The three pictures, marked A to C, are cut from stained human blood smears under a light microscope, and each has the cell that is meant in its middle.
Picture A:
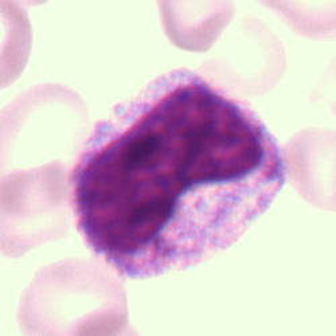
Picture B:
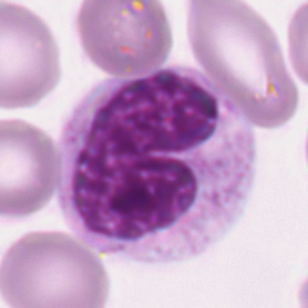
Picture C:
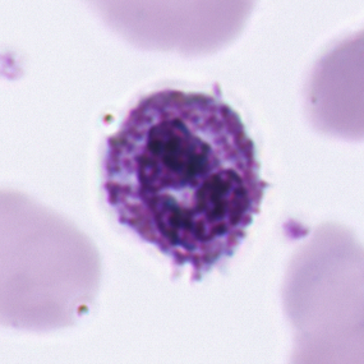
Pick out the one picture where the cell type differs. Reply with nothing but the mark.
C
